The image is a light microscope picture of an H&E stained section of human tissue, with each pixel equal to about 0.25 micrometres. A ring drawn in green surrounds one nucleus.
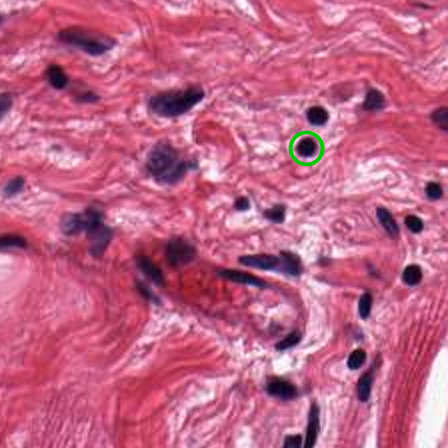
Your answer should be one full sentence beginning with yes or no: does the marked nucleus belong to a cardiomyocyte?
No, the marked nucleus belongs to a supporting cell, not to a cardiomyocyte.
